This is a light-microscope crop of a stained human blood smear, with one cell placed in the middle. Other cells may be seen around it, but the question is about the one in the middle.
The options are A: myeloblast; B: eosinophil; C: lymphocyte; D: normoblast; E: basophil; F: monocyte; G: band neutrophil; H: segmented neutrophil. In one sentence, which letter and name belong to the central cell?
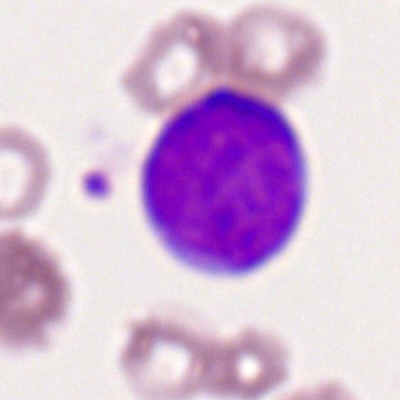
Located in the middle of the crop is a myeloblast, and option A is therefore correct.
